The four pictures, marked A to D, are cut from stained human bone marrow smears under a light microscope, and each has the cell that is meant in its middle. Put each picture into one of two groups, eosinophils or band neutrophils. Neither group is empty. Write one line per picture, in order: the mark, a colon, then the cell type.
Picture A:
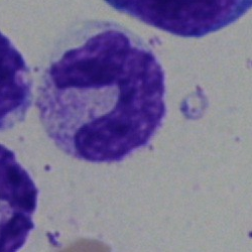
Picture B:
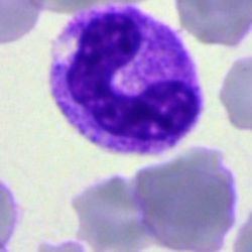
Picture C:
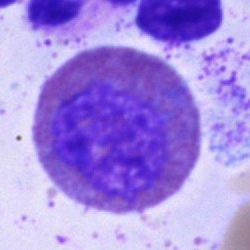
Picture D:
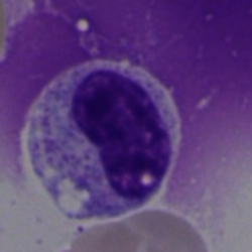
A: band neutrophil
B: band neutrophil
C: eosinophil
D: eosinophil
